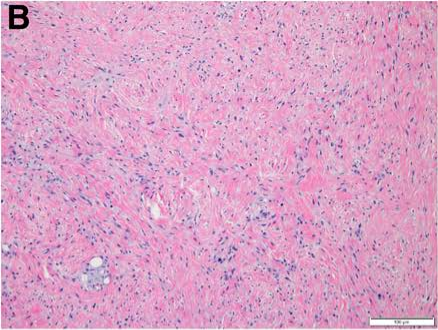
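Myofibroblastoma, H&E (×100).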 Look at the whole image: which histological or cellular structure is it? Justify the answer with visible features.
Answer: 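Eosinophilic collagenous stroma. Abundant bright pink fibrillar material lies between the cells.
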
